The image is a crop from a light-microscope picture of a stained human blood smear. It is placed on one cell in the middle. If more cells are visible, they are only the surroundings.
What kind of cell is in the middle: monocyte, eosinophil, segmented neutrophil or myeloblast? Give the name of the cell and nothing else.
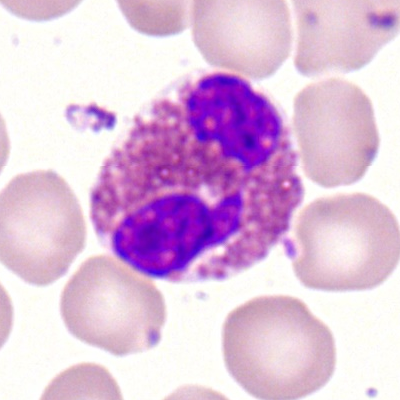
eosinophil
